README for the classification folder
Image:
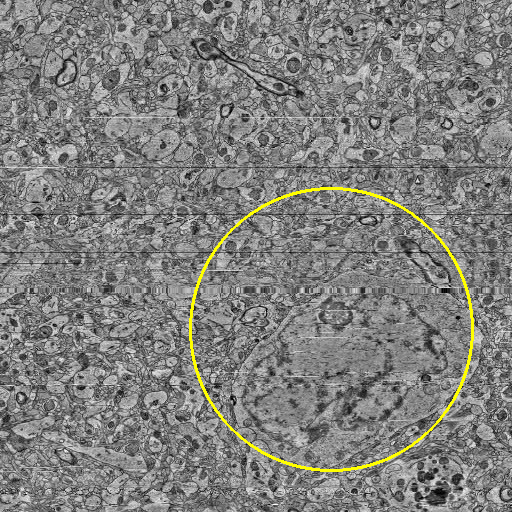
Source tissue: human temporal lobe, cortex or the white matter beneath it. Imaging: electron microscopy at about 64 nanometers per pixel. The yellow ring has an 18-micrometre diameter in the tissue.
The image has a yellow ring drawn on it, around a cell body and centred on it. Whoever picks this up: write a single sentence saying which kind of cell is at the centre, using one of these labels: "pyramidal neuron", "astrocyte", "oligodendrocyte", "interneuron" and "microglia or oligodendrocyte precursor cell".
This cell body is that of an interneuron.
